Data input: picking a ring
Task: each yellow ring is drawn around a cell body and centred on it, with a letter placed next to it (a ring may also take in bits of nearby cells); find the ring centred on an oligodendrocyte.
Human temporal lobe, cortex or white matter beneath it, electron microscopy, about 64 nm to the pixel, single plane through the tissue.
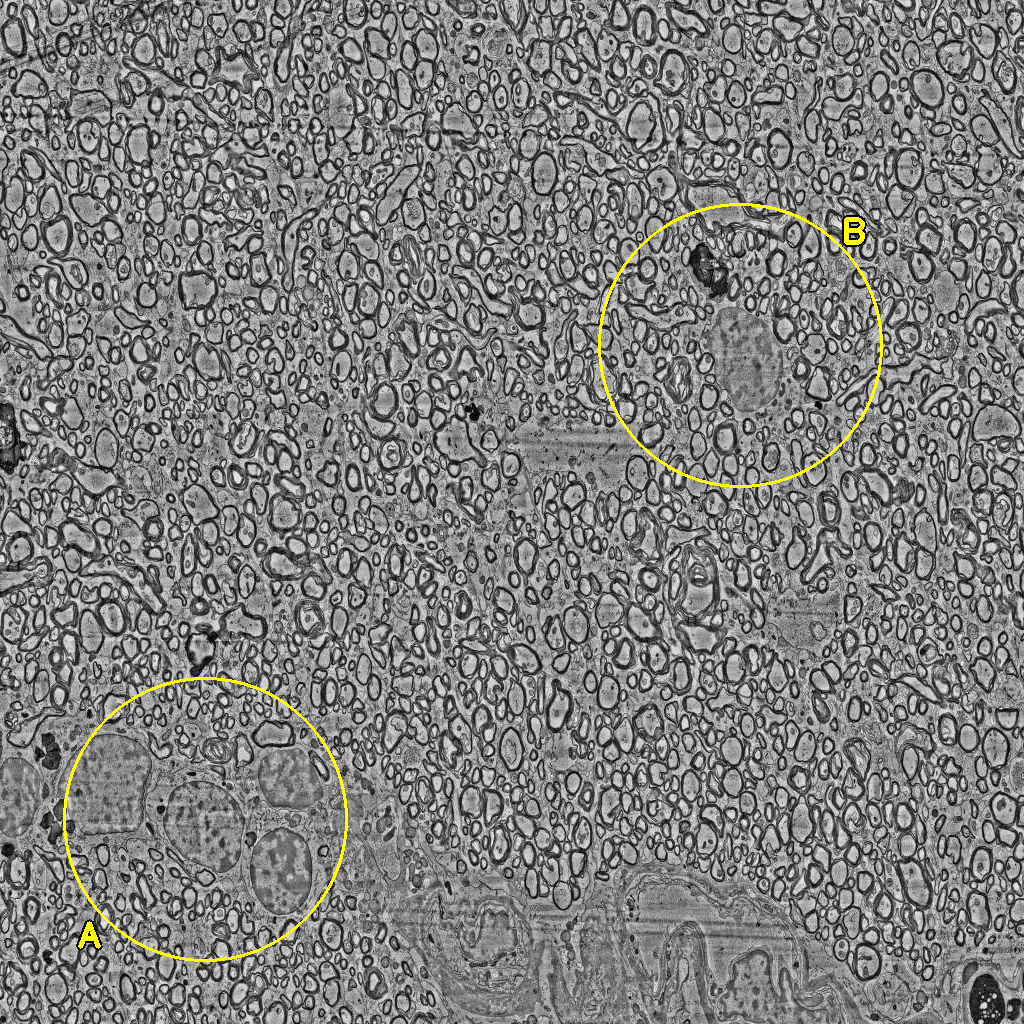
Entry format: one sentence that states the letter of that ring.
In the picture, the cell asked for sits at the centre of ring B.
